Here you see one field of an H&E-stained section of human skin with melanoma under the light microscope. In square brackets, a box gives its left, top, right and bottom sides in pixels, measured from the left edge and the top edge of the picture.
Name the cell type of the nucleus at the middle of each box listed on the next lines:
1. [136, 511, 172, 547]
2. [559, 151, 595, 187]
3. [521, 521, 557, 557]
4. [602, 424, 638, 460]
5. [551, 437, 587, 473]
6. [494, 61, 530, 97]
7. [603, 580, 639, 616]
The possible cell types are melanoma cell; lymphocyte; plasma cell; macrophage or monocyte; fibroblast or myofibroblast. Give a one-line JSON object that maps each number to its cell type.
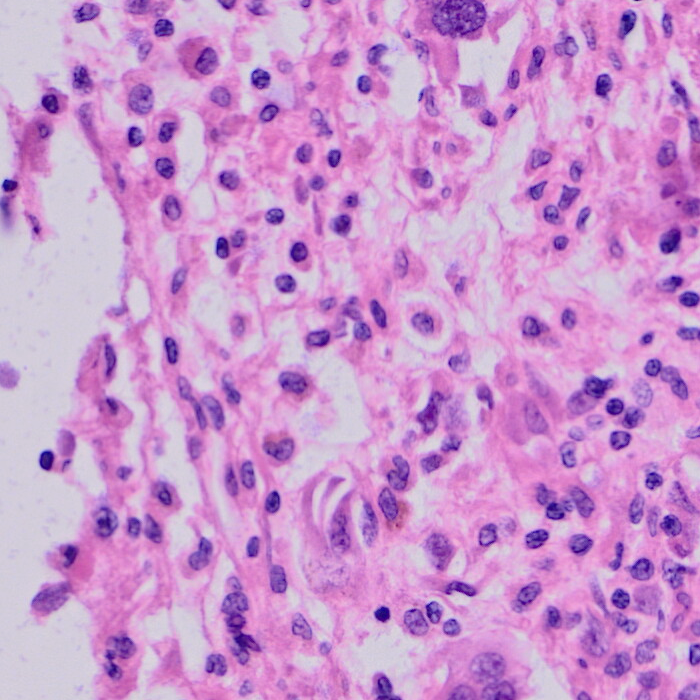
{"1": "macrophage or monocyte", "2": "macrophage or monocyte", "3": "lymphocyte", "4": "lymphocyte", "5": "lymphocyte", "6": "macrophage or monocyte", "7": "lymphocyte"}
